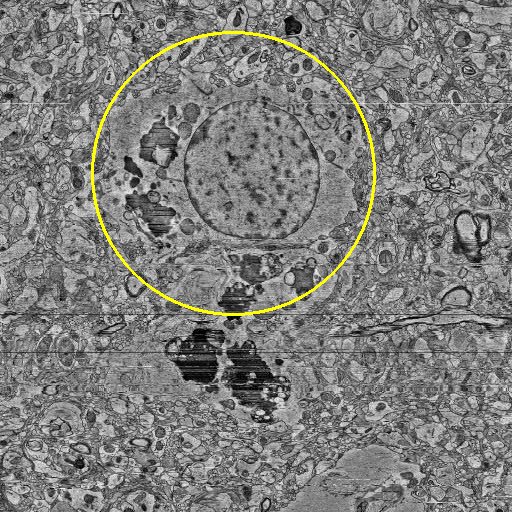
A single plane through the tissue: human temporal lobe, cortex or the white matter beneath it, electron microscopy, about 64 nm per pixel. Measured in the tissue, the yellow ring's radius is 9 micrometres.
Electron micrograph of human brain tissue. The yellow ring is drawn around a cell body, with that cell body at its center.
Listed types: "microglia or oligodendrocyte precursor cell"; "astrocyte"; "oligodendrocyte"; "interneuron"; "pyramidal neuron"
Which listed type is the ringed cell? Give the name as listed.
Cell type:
astrocyte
